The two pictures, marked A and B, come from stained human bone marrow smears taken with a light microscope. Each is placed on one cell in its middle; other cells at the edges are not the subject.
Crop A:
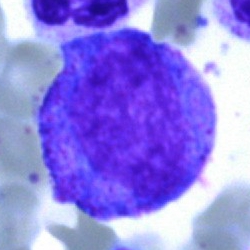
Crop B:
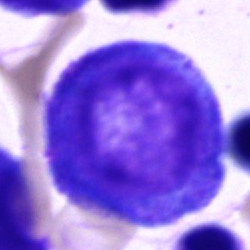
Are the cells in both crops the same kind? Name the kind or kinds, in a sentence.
Yes, the cells placed at the centre of both crops are promyelocytes.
